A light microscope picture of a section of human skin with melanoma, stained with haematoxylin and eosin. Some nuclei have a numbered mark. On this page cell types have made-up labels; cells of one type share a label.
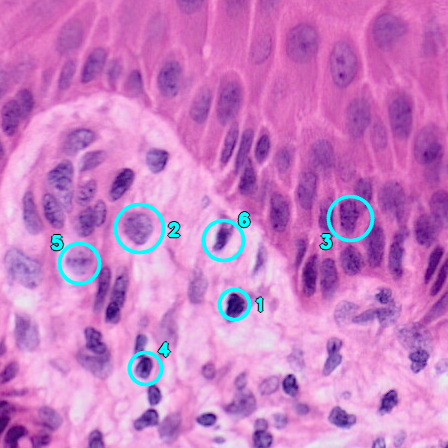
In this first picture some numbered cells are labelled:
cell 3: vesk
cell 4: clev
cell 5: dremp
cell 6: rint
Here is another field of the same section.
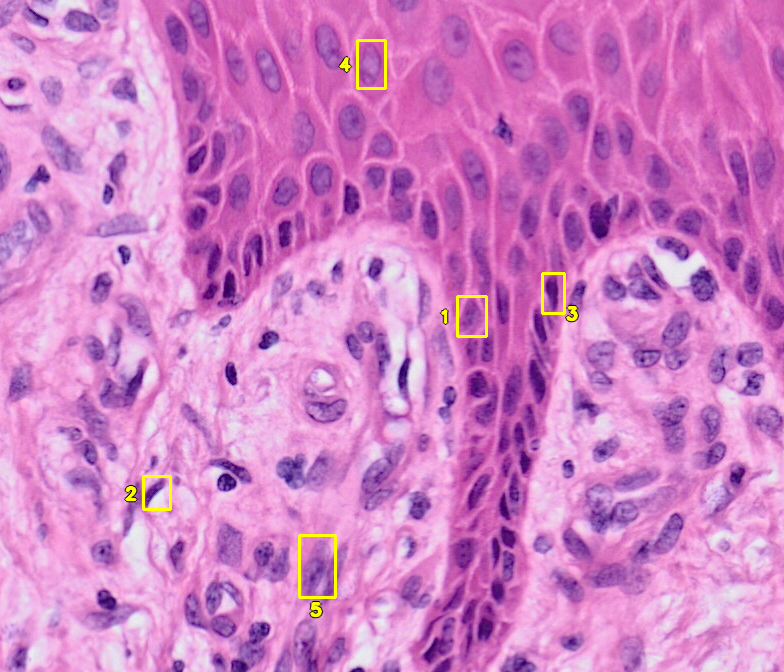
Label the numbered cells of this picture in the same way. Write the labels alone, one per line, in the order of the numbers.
vesk
rint
vesk
vesk
dremp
